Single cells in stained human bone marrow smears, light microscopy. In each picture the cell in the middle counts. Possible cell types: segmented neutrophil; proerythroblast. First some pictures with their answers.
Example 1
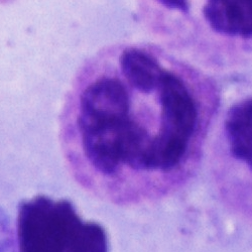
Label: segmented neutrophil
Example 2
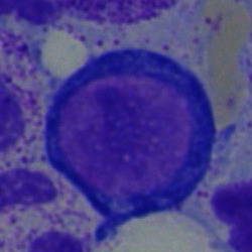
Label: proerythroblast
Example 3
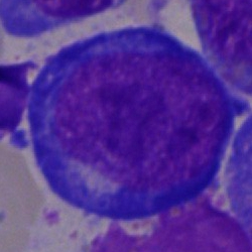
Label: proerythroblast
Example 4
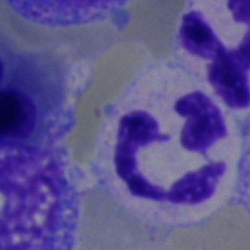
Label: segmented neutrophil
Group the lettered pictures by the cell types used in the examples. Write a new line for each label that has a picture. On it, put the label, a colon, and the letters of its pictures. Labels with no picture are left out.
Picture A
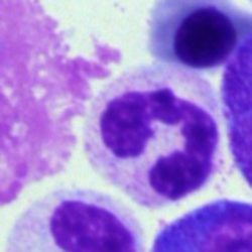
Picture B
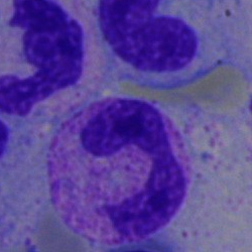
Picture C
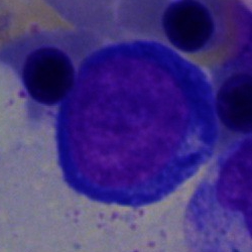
segmented neutrophil: A, B
proerythroblast: C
